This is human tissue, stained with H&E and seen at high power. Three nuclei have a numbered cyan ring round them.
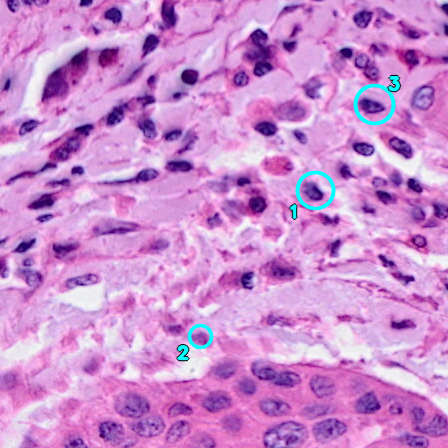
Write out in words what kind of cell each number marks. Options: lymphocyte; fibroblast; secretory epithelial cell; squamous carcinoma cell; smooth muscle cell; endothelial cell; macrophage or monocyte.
Cell 1 is a lymphocyte, cell 2 is a fibroblast and cell 3 is a lymphocyte.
